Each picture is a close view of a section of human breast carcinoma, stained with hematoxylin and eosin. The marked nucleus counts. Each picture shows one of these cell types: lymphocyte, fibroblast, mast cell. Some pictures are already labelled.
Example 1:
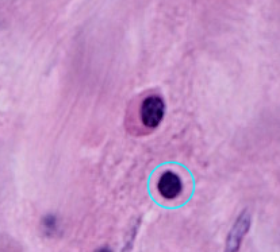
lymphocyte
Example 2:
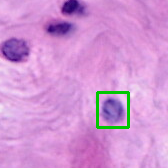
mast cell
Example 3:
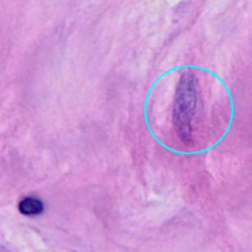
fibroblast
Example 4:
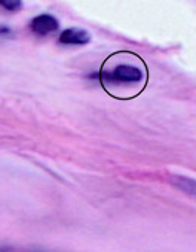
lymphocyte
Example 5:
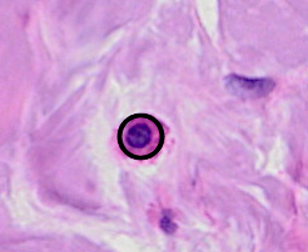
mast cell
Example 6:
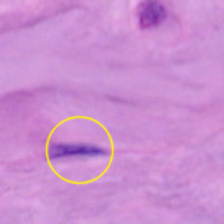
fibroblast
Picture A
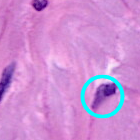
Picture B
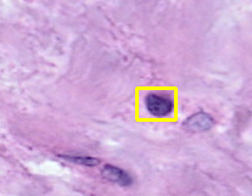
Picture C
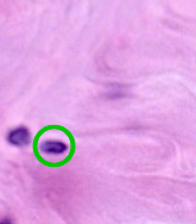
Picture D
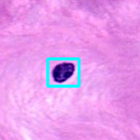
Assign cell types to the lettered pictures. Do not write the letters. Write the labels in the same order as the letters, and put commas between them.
fibroblast, mast cell, lymphocyte, lymphocyte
